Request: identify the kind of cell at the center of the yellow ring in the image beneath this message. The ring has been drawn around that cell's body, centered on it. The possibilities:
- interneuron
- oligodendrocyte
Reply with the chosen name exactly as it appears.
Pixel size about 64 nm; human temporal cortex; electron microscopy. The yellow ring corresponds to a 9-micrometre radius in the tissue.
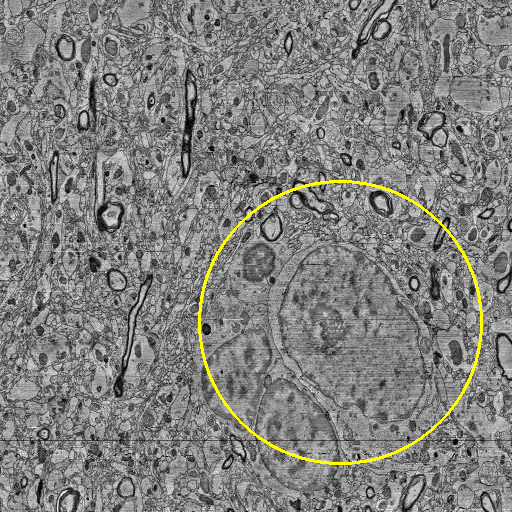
interneuron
